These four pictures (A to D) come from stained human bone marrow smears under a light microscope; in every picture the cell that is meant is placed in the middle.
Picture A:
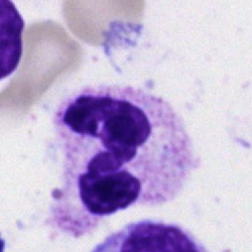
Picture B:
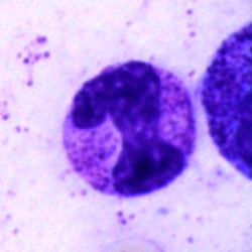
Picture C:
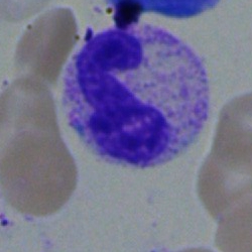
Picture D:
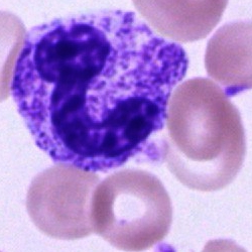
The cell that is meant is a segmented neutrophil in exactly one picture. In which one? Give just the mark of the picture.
A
